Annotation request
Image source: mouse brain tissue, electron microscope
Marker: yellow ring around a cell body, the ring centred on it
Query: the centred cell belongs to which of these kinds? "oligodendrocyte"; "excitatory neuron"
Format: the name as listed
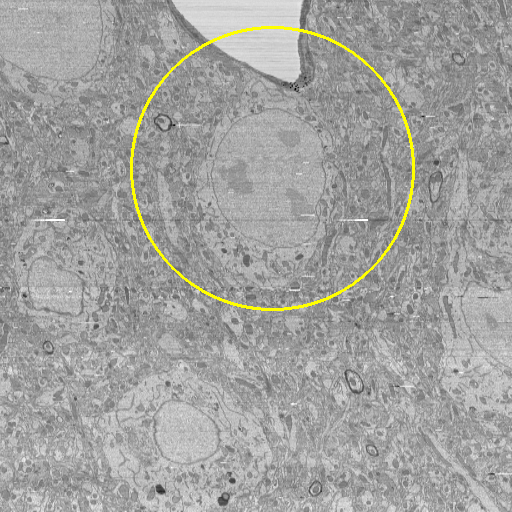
excitatory neuron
